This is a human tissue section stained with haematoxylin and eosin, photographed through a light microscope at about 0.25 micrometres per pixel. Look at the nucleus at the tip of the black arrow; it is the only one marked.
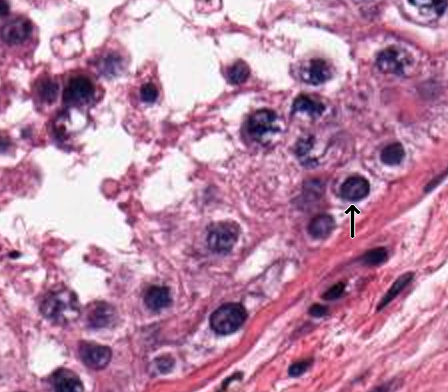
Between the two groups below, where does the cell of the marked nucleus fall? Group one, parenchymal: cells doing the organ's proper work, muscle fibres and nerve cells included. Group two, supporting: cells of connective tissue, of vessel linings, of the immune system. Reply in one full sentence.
The marked nucleus lies within a parenchymal cell, which is a spermatogonium.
